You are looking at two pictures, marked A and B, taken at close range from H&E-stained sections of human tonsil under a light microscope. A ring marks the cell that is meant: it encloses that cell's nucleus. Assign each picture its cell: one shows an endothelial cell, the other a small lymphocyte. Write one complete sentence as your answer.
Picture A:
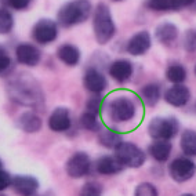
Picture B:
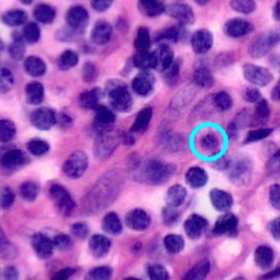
Picture A is of a small lymphocyte, and picture B is of an endothelial cell.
